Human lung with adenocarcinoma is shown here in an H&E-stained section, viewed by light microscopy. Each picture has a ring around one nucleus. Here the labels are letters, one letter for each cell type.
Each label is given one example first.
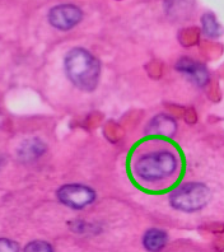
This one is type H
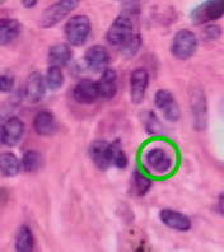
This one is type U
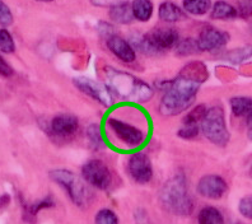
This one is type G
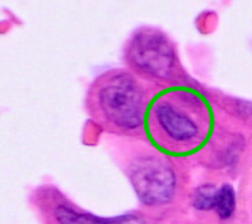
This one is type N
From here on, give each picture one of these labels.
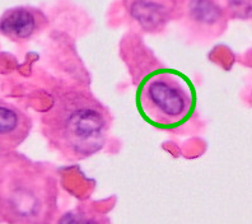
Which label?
type H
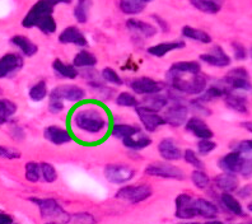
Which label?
type U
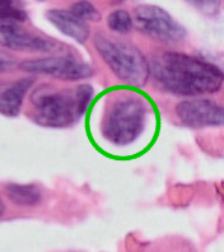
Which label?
type N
